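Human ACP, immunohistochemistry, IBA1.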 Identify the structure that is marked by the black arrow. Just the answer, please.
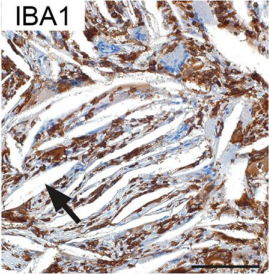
Cholesterol clefts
